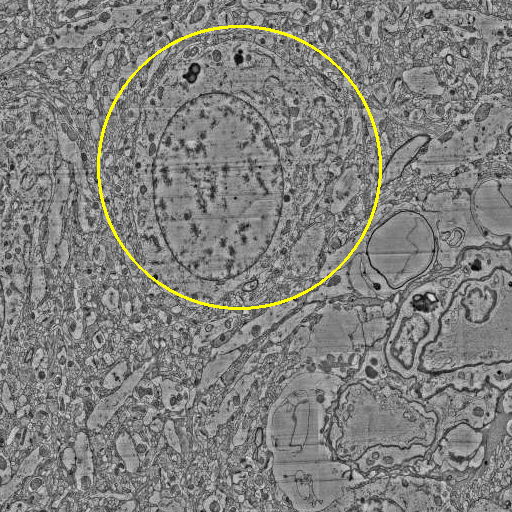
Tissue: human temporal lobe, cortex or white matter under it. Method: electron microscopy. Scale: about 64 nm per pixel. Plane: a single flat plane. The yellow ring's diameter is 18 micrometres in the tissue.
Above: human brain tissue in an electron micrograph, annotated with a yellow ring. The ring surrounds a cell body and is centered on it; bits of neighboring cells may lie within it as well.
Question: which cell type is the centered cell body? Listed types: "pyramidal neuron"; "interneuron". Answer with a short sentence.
The centered cell body is a pyramidal neuron.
